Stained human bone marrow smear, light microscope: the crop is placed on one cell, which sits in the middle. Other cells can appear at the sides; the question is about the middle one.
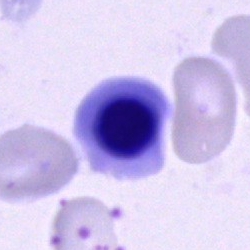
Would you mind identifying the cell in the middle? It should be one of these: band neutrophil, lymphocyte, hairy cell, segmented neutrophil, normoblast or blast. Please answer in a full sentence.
The cell the crop is centered on is a normoblast.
